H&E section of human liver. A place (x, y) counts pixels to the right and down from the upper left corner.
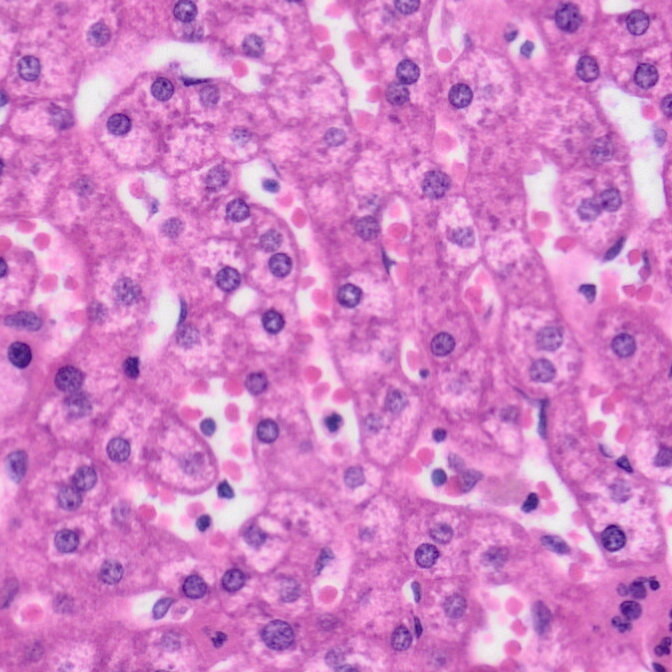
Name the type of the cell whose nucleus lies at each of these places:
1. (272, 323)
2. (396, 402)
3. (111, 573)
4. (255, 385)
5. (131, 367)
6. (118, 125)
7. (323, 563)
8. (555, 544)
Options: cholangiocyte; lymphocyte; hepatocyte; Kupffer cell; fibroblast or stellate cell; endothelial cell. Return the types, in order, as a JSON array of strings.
["hepatocyte", "hepatocyte", "hepatocyte", "hepatocyte", "fibroblast or stellate cell", "hepatocyte", "endothelial cell", "Kupffer cell"]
